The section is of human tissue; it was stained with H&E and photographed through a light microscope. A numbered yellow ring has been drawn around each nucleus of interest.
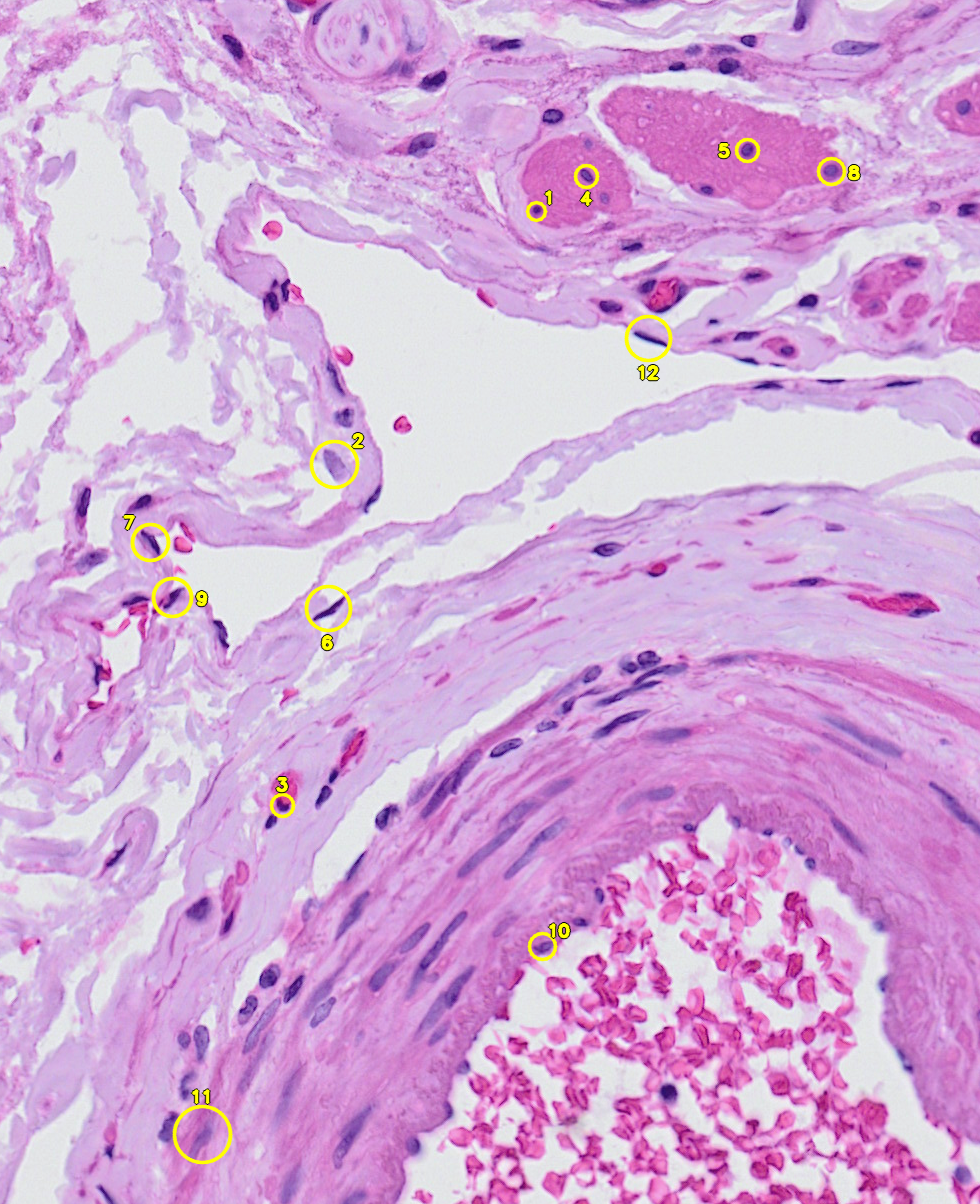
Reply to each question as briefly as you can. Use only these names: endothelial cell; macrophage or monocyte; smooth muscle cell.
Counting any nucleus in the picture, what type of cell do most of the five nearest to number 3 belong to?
macrophage or monocyte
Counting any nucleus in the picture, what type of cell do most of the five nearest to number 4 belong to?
smooth muscle cell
